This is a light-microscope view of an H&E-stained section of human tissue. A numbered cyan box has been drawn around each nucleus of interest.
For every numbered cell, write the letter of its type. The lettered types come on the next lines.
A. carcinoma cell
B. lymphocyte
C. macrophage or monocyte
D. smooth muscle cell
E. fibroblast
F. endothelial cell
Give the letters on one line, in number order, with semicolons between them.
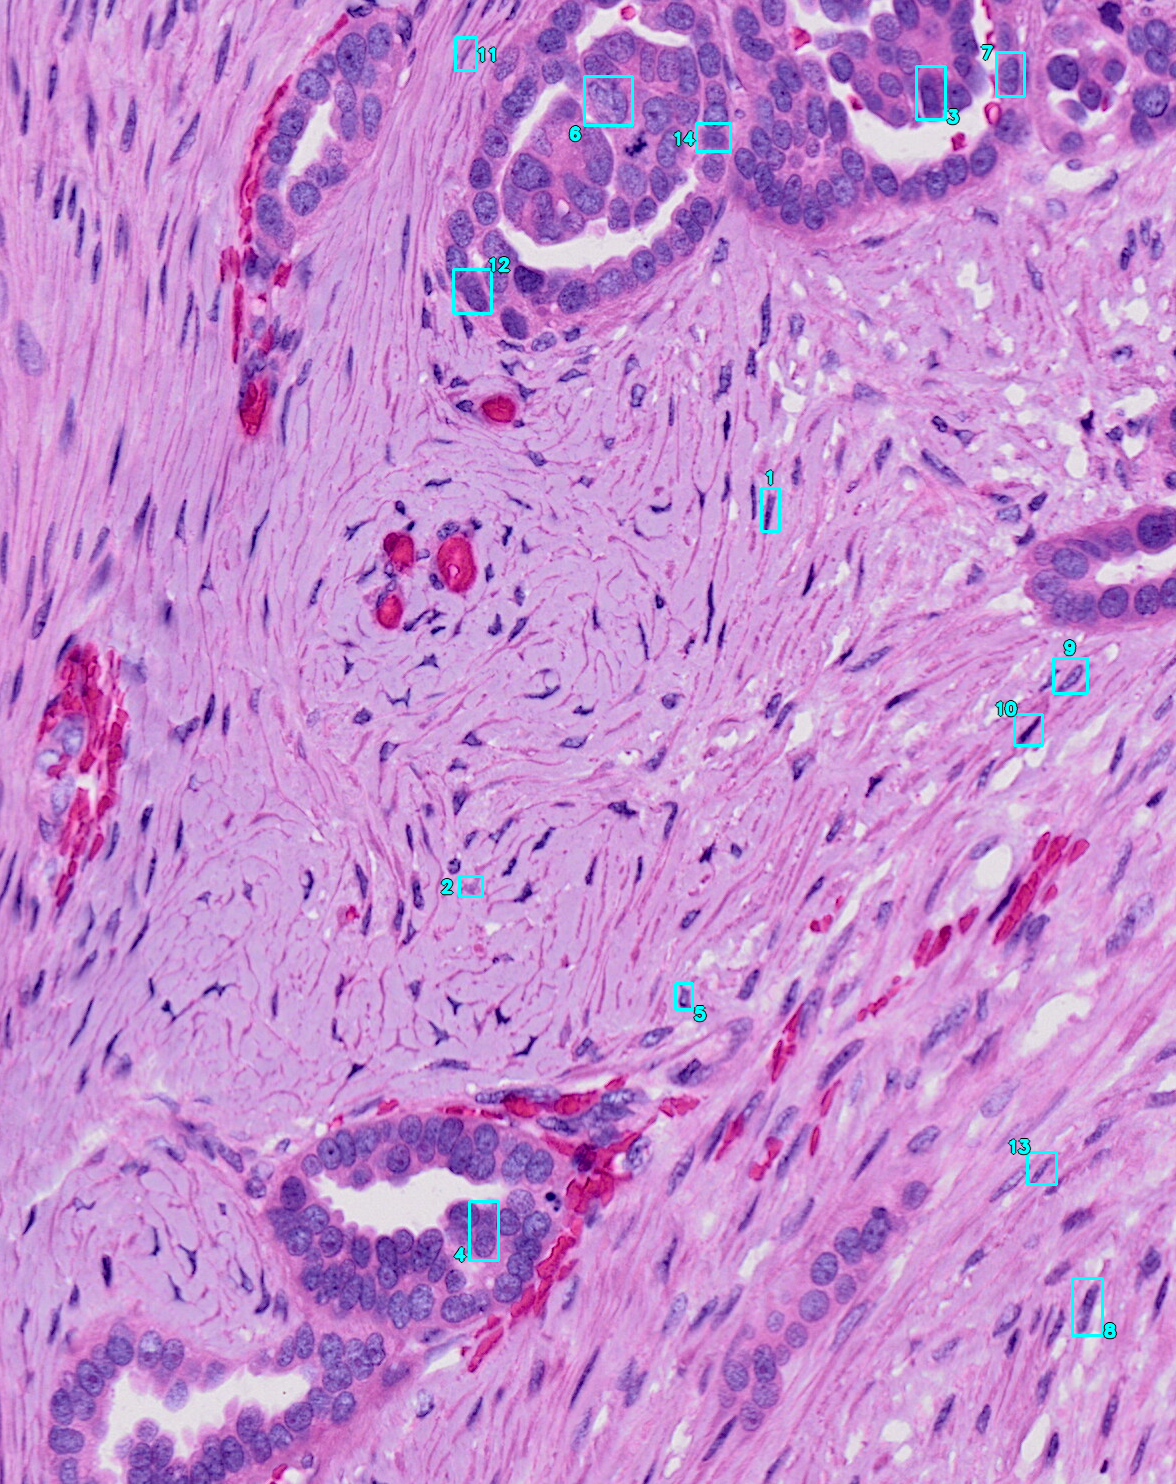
E; E; A; A; E; A; A; E; E; E; E; A; E; A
